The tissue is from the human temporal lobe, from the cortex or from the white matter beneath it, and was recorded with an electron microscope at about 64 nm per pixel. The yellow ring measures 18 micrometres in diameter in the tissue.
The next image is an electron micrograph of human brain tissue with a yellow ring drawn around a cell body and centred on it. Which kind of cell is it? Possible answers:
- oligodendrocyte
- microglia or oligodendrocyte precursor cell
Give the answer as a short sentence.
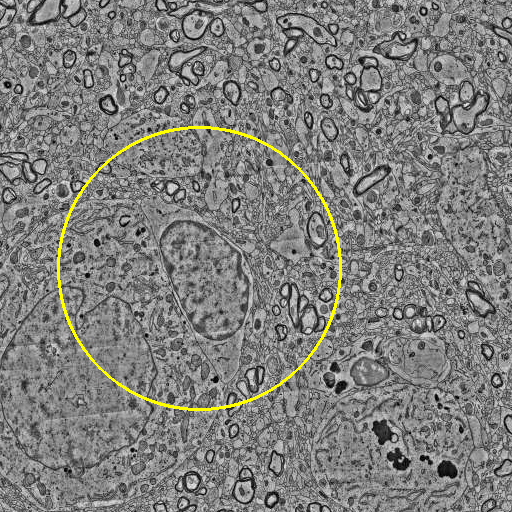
In the ring's centre is a microglial cell or oligodendrocyte precursor cell.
